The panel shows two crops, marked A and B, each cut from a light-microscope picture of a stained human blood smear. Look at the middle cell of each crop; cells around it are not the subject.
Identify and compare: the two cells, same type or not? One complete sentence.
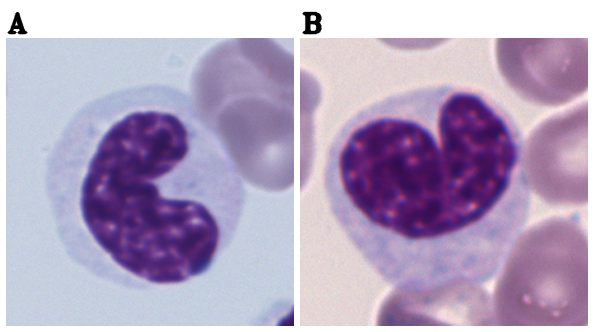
Yes, both crops have band neutrophils at the centre.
